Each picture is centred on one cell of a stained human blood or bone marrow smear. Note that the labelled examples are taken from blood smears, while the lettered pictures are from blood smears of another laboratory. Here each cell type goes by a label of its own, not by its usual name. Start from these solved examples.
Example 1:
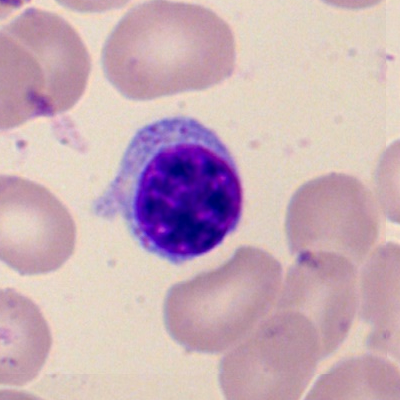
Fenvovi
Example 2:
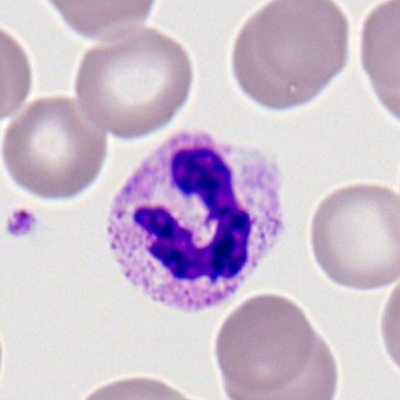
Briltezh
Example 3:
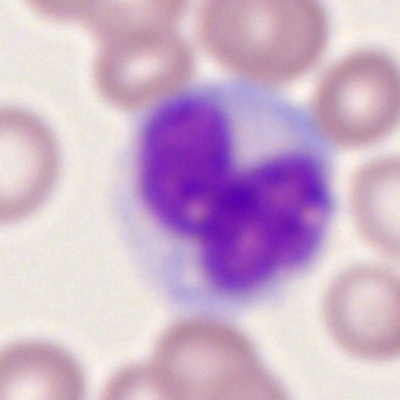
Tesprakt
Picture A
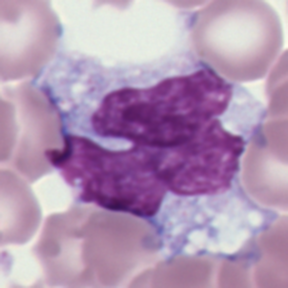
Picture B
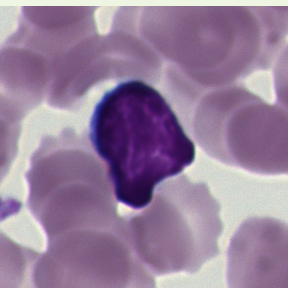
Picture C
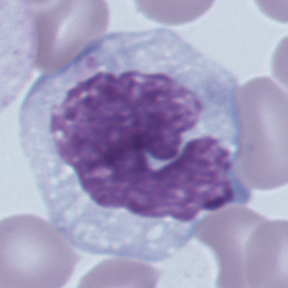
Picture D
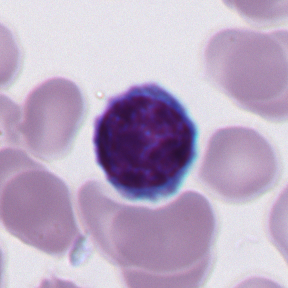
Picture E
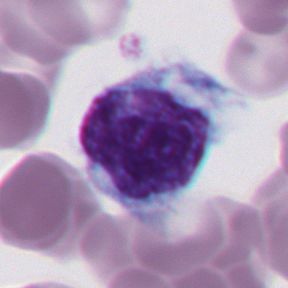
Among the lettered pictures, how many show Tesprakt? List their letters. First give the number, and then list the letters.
Count: 3 (A, C, E)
